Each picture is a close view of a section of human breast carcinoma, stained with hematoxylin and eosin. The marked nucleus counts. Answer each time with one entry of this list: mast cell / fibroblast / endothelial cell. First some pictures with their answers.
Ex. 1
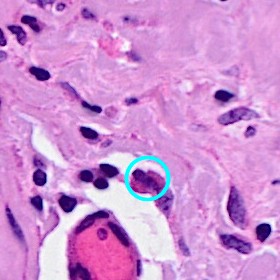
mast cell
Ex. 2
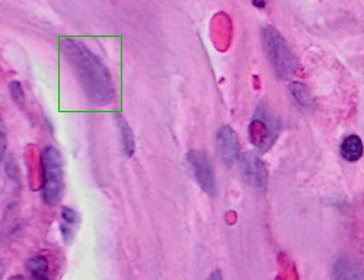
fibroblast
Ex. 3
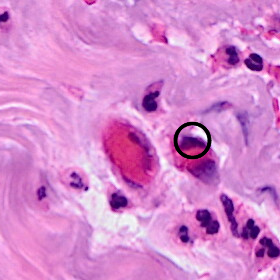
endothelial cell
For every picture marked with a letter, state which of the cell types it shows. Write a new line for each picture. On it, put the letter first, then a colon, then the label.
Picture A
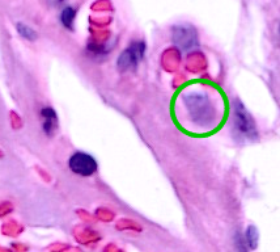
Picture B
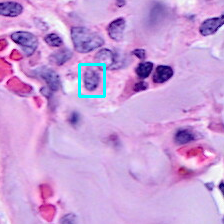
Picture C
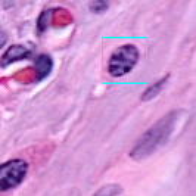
A: endothelial cell
B: mast cell
C: mast cell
